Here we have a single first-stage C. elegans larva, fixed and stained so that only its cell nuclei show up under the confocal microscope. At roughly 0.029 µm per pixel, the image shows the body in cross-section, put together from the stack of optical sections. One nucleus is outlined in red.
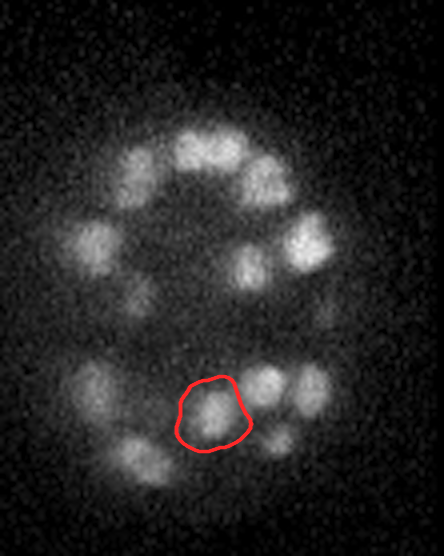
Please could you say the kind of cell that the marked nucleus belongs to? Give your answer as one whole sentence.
This is the nucleus of a pharyngeal muscle cell.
